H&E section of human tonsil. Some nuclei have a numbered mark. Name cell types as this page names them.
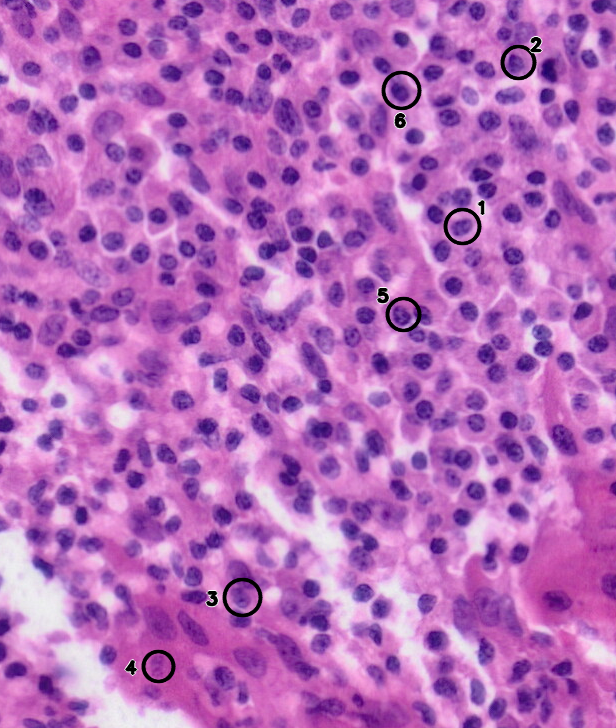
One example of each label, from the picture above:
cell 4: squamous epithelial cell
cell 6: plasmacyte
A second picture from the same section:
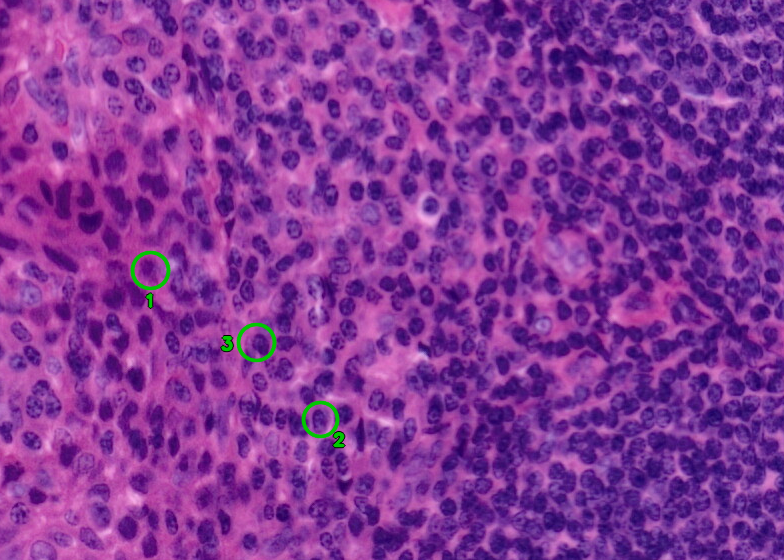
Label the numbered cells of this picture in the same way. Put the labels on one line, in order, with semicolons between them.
squamous epithelial cell; plasmacyte; plasmacyte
